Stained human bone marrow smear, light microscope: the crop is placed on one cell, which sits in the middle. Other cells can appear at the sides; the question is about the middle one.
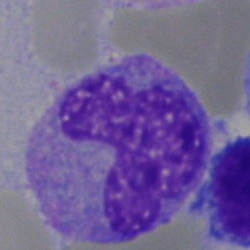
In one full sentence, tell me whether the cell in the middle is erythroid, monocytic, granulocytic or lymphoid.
The cell positioned centrally in this crop arises from the monocytic lineage.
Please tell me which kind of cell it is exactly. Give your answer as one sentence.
At the center of the crop sits a monocyte.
